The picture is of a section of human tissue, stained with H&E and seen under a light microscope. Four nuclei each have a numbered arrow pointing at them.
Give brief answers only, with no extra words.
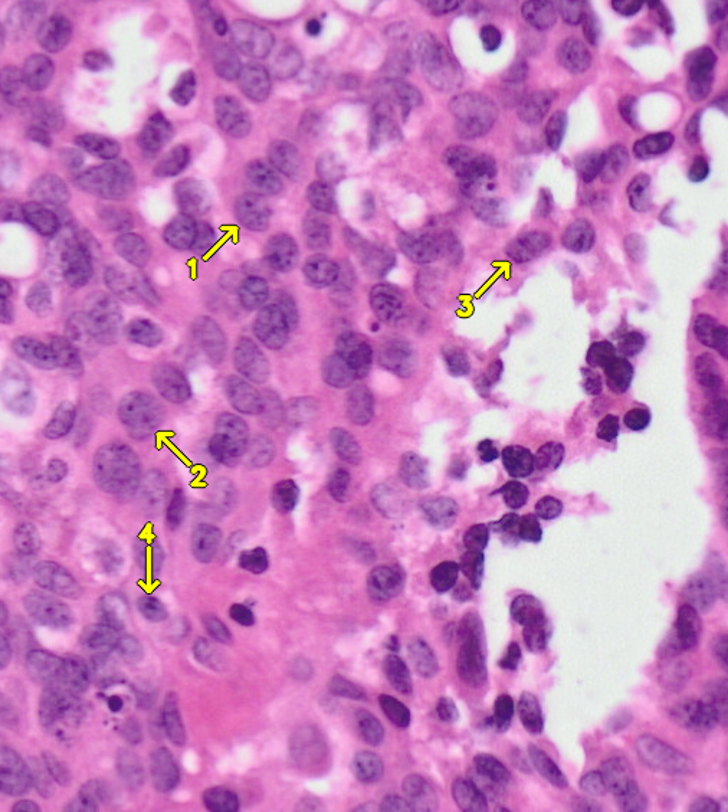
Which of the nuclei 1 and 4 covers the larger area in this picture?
1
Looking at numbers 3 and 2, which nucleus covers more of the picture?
2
